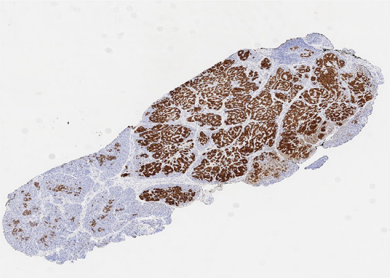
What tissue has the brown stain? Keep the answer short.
endocrine tissue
